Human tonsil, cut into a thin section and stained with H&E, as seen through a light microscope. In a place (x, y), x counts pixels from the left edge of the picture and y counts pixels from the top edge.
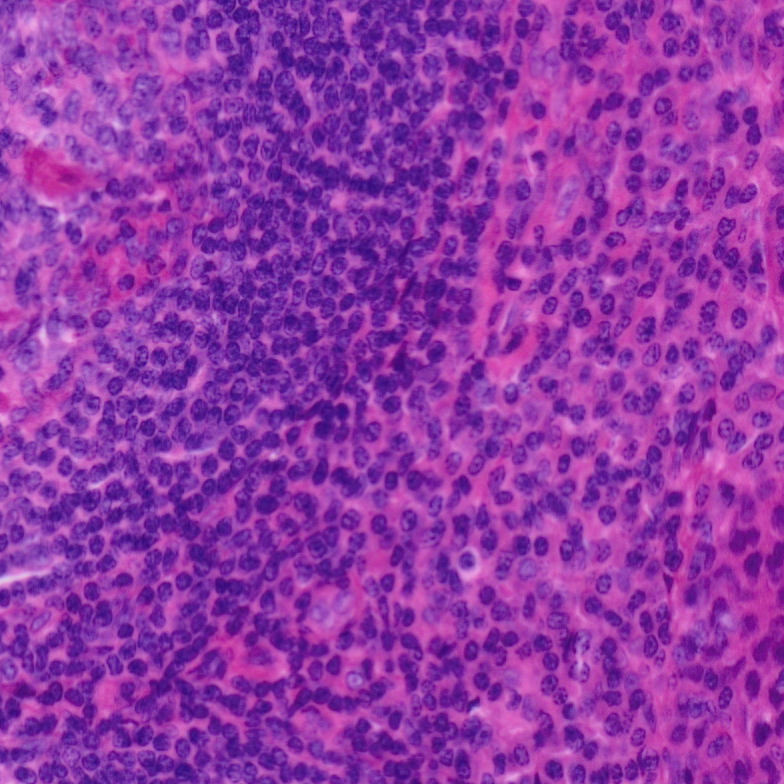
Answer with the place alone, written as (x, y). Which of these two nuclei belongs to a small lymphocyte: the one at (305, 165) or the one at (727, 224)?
(305, 165)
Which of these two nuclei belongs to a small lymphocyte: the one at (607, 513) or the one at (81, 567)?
(81, 567)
